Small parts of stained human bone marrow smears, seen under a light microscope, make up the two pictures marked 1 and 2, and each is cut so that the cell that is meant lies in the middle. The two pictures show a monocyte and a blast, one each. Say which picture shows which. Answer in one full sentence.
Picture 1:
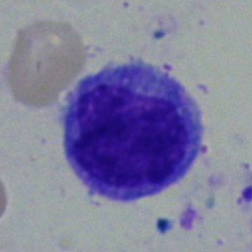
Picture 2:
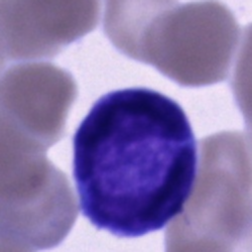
Picture 2 shows a blast, while picture 1 shows a monocyte.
